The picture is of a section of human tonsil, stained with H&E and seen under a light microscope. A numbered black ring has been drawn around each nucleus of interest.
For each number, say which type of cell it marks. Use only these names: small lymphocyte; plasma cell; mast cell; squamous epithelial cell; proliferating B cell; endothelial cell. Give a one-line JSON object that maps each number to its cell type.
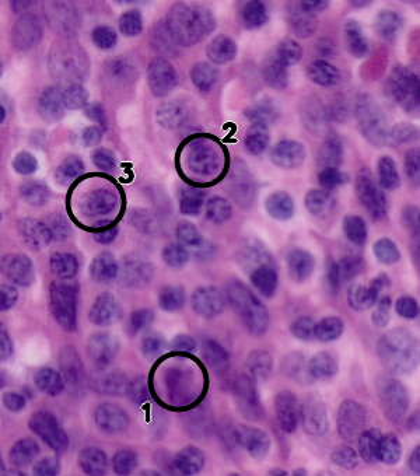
{"1": "squamous epithelial cell", "2": "plasma cell", "3": "plasma cell"}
